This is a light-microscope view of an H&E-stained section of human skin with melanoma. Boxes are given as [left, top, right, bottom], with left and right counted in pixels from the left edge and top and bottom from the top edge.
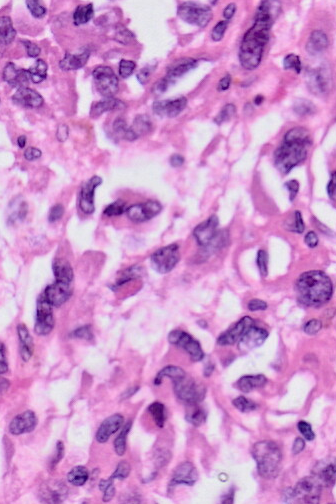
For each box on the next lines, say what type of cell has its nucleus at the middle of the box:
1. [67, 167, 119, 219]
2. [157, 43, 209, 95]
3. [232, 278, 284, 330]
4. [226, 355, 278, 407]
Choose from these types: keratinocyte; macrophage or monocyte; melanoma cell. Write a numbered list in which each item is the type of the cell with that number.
1. melanoma cell
2. melanoma cell
3. macrophage or monocyte
4. melanoma cell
